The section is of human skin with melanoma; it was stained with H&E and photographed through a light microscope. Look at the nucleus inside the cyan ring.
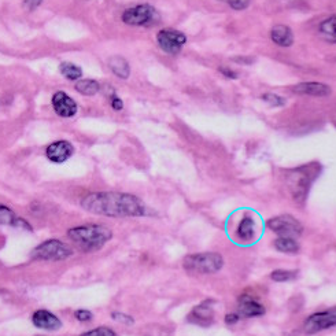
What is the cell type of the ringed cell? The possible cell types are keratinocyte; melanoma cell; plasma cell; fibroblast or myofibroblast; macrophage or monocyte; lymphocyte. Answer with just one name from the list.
lymphocyte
